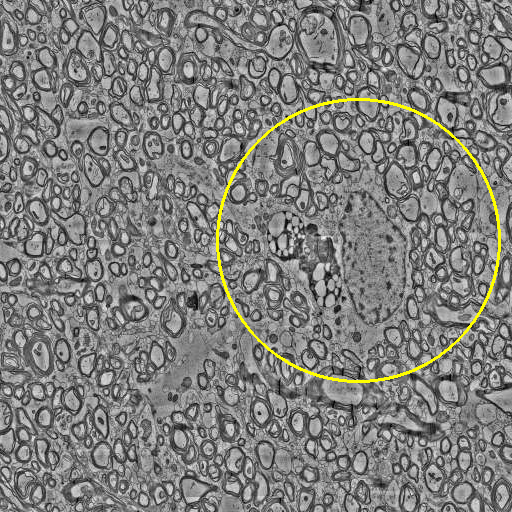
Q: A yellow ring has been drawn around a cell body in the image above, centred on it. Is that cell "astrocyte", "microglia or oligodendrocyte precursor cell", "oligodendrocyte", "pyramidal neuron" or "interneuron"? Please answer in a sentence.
The ring surrounds the cell body of an astrocyte.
